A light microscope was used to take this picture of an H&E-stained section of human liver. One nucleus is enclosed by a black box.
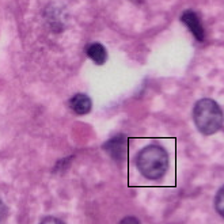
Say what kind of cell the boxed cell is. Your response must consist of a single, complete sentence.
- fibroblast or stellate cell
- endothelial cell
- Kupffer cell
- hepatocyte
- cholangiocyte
Labelled by cell type, the boxed cell is a hepatocyte.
